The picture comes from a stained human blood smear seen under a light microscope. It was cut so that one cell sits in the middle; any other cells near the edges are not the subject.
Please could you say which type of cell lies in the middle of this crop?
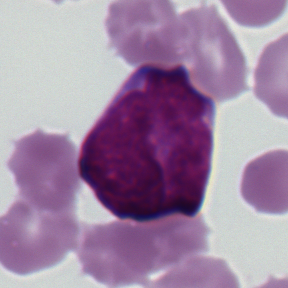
myeloblast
